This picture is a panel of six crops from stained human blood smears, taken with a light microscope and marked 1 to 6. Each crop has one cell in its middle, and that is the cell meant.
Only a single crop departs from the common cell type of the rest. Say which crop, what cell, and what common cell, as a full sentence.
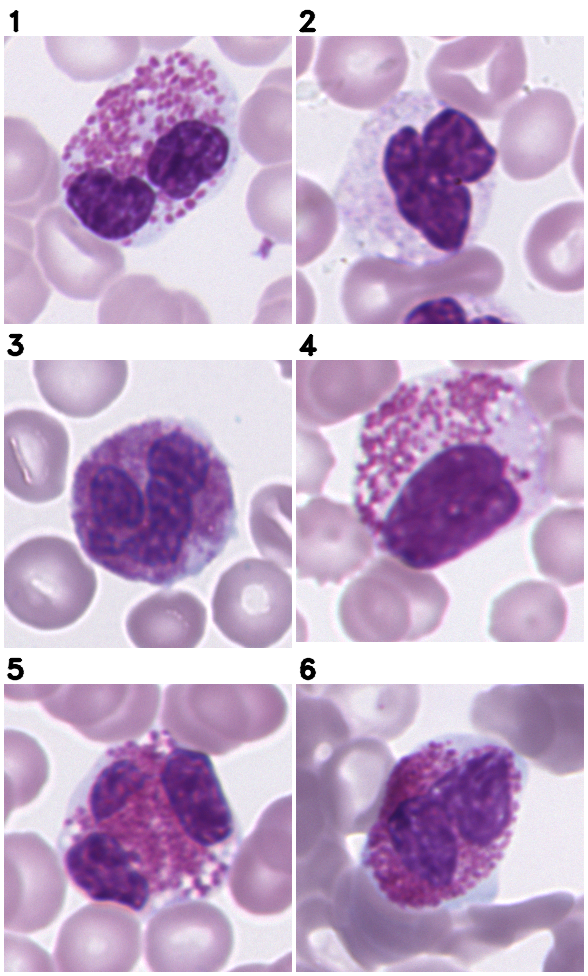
Among these crops, eosinophils occur in all but crop 2, which contains a neutrophil.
